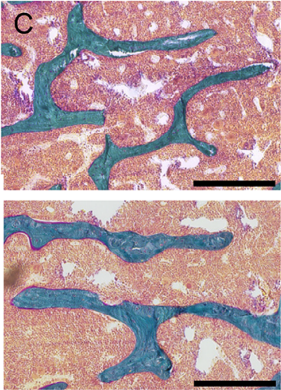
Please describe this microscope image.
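These are sections of trabecular bone with the surrounding marrow space. The bone trabeculae stain blue-green and form elongated, branching struts running across the field. The marrow between them stains orange-red and is densely filled with small cells, too small at this magnification to resolve individually. Scattered small clear, unstained spaces lie within the marrow. The trabeculae have smooth edges and are separated by wide marrow spaces in both images.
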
